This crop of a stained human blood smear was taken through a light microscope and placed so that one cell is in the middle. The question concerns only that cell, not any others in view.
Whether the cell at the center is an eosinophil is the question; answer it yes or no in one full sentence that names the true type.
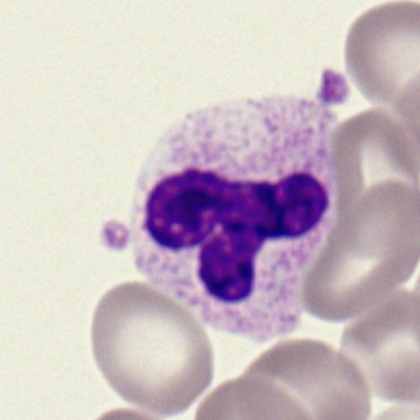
No, what is centred in the crop is not an eosinophil but a segmented neutrophil.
